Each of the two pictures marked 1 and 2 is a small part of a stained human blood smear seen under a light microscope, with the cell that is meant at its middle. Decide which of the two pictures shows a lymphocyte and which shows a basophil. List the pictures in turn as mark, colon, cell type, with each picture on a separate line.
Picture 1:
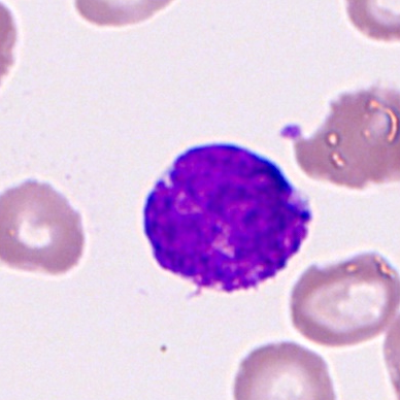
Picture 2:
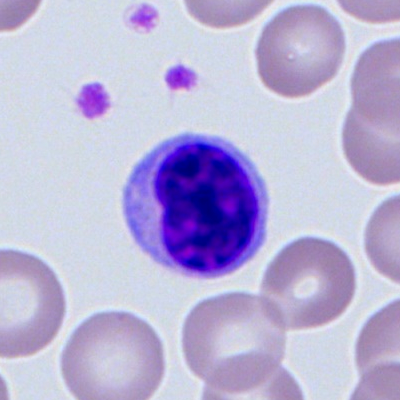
1: basophil
2: lymphocyte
